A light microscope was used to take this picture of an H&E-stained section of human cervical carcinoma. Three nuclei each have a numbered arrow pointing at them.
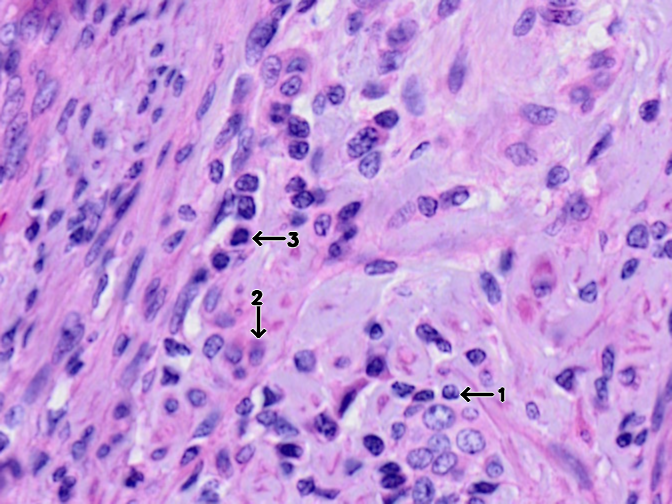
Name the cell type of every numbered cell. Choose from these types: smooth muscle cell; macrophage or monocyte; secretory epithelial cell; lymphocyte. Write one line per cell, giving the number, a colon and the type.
1: lymphocyte
2: smooth muscle cell
3: lymphocyte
